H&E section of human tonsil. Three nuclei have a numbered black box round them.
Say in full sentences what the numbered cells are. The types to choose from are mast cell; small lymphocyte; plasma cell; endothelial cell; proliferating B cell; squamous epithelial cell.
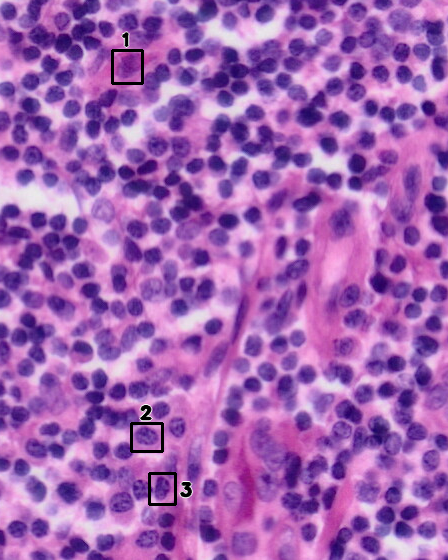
Cell 1 is an endothelial cell. Cells 2 and 3 are plasma cells.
